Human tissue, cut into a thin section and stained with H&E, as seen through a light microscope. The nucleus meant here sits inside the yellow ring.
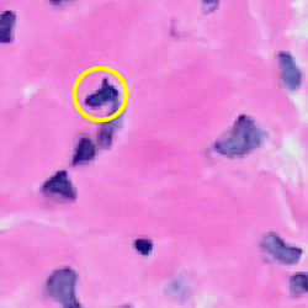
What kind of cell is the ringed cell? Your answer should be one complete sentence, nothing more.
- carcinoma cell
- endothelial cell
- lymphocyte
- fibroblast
For the purposes of cell typing, the ringed cell is categorized as a lymphocyte.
